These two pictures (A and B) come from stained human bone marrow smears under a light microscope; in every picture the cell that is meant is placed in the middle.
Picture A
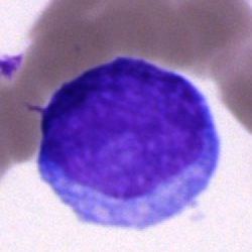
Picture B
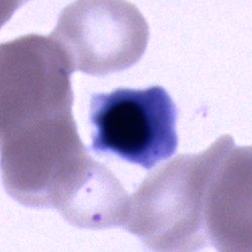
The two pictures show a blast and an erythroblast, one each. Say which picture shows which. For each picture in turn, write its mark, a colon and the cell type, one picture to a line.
A: blast
B: erythroblast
